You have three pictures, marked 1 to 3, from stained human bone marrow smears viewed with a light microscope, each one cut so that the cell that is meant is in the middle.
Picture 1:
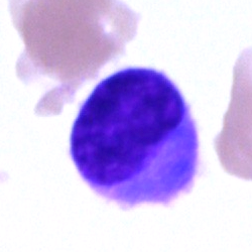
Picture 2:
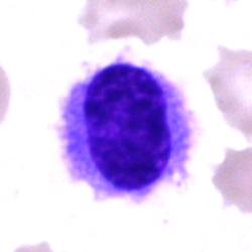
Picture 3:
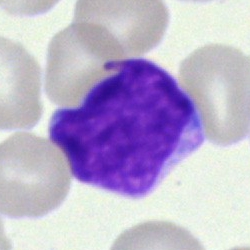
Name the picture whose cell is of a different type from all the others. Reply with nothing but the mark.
3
